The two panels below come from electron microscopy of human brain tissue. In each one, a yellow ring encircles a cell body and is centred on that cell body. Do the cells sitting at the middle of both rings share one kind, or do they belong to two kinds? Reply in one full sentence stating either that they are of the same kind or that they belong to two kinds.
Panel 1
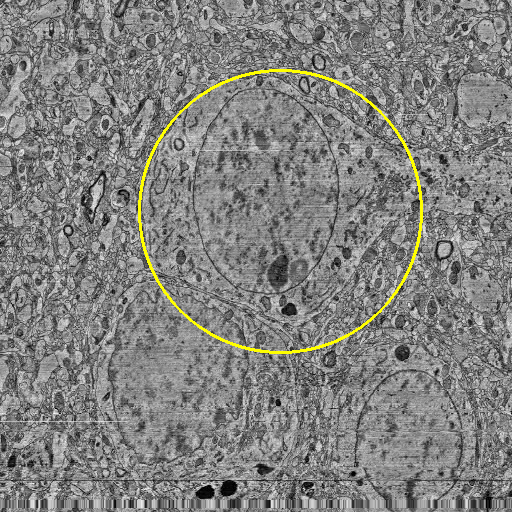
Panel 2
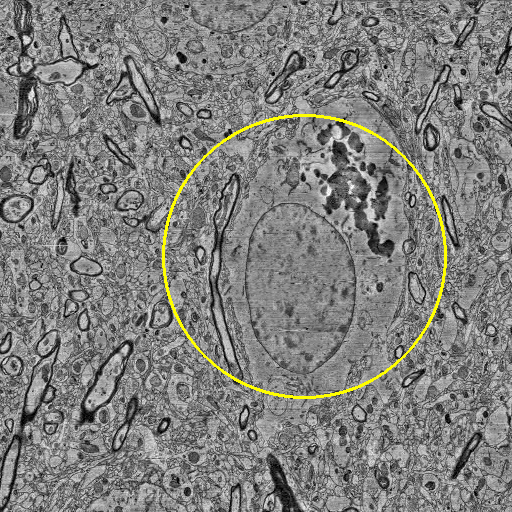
The cells at the centres of the two rings belong to two kinds.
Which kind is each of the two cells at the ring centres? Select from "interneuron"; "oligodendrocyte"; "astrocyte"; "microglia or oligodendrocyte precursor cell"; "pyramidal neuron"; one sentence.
The cell at the centre of the ring is a pyramidal neuron in the first picture and an astrocyte in the second.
